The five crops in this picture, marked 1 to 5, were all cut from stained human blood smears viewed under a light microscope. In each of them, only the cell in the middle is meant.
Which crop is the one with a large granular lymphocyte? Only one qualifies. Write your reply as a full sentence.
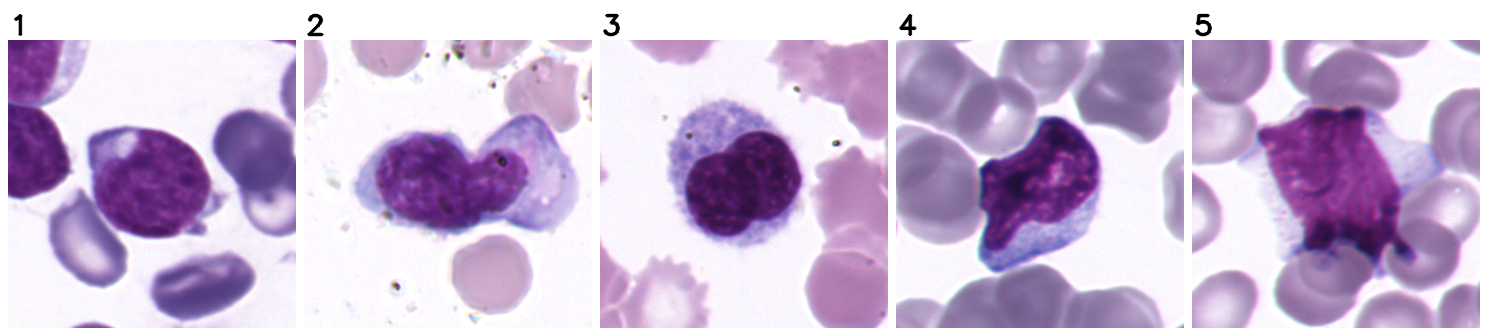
The one that shows a large granular lymphocyte is crop 5.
